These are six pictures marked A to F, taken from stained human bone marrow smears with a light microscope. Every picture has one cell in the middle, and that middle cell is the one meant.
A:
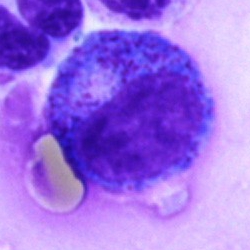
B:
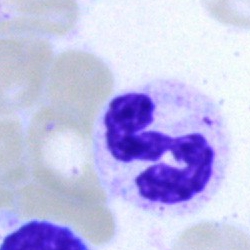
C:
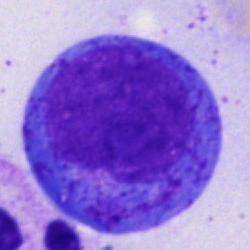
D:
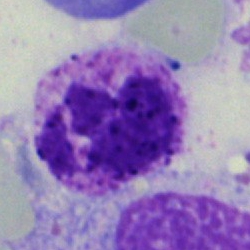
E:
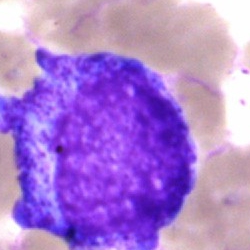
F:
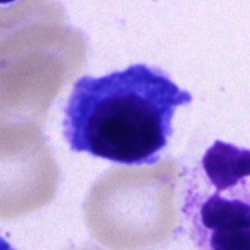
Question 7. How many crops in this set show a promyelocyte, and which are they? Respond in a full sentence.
Identified as promyelocytes are the cells in three crops, A, C and E.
